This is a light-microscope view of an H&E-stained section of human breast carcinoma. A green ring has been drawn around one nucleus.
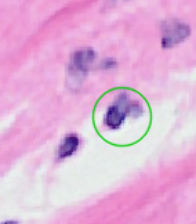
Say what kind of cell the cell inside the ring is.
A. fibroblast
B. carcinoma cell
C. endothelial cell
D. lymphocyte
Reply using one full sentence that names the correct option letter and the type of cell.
Option D is the one that fits, as the cell inside the ring is a lymphocyte.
